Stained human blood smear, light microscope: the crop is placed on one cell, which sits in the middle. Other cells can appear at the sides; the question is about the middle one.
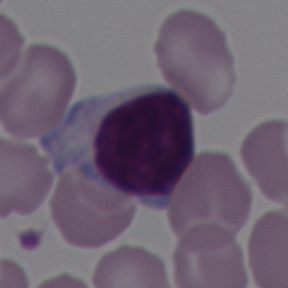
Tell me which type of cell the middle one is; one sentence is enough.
Framed in the middle of the crop is a lymphocyte.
